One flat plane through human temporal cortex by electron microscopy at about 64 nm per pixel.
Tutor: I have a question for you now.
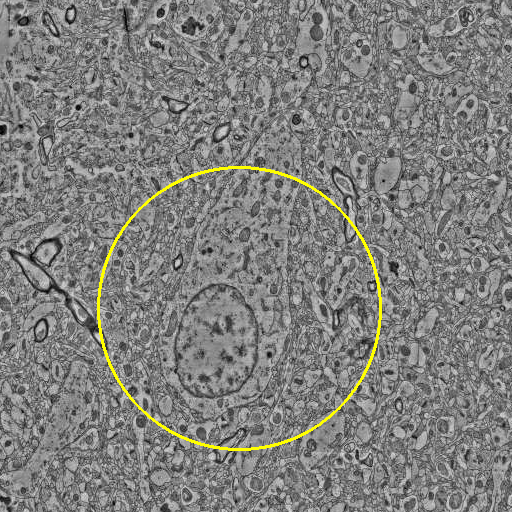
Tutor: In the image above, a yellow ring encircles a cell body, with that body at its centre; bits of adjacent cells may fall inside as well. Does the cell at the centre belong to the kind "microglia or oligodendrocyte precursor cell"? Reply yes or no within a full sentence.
No, the centred cell inside the ring belongs to another kind.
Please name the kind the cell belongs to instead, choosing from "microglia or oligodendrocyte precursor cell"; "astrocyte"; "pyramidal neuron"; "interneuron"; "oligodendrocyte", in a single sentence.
The cell that the ring is centred on is a pyramidal neuron.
